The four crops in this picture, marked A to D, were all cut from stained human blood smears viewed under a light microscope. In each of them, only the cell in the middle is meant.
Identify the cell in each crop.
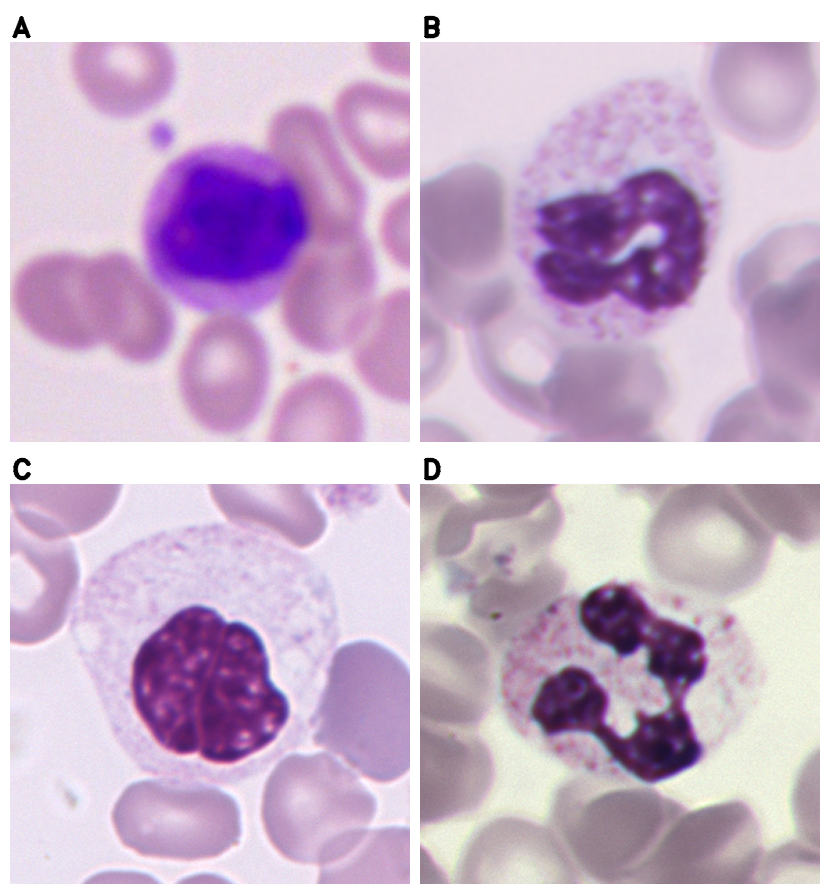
A: basophil
B: neutrophil
C: neutrophil
D: neutrophil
